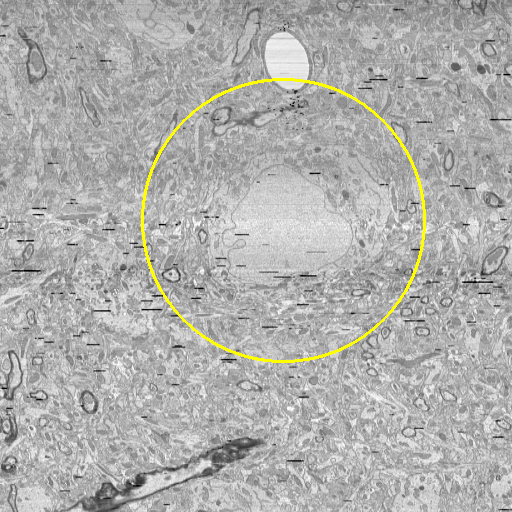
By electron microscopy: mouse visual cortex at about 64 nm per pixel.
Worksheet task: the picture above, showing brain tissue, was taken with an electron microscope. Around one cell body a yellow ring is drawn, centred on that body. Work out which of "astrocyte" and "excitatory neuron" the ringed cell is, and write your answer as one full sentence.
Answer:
It is an excitatory neuron whose cell body lies at the centre of the yellow ring.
